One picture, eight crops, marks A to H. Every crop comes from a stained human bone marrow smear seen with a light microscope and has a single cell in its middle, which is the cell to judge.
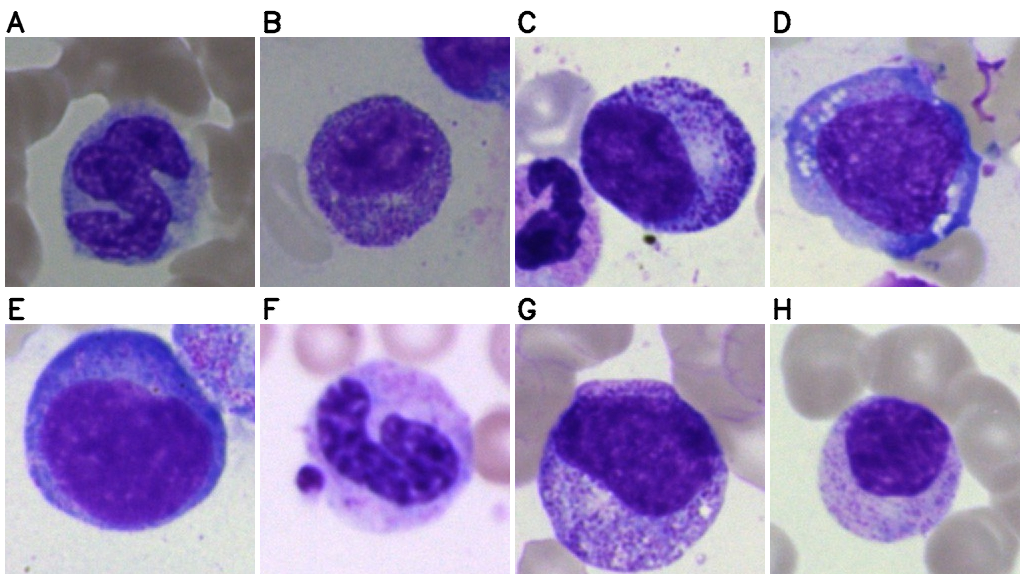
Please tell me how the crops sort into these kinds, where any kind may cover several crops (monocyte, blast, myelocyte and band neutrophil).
A: monocyte
B: myelocyte
C: myelocyte
D: blast
E: blast
F: band neutrophil
G: myelocyte
H: myelocyte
